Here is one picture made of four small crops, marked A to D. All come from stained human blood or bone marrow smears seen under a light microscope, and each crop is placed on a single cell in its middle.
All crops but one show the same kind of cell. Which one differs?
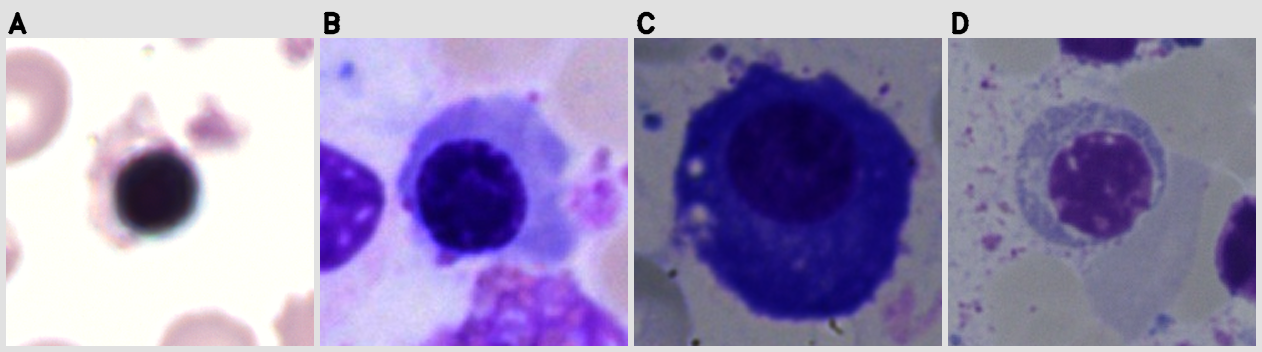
C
